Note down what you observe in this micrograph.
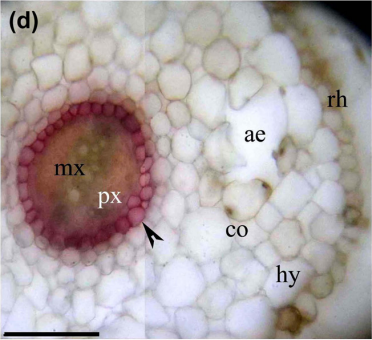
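Root cross-section with an oval central vascular cylinder ringed by a layer of red-stained endodermal cells. The cortex consists of large, rounded, colourless parenchyma cells with a wide air cavity; brownish outer layers form the hypodermis and rhizodermis at the periphery.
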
